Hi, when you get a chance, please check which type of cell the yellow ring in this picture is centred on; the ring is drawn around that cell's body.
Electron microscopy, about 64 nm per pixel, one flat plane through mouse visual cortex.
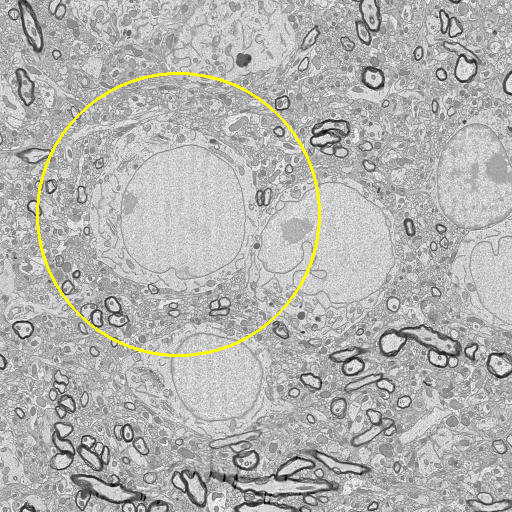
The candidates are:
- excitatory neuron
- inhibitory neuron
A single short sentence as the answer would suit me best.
The ring is drawn around the body of an excitatory neuron.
